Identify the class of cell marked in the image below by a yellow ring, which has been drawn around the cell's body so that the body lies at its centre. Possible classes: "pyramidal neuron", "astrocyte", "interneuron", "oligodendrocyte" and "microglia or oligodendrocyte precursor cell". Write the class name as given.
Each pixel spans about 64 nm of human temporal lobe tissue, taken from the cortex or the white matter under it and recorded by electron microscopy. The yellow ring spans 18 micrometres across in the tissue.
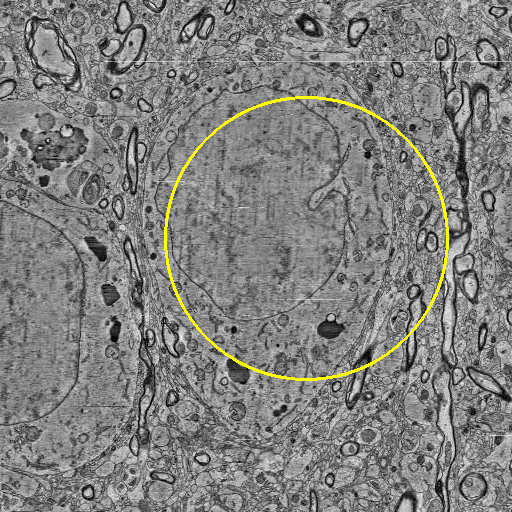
pyramidal neuron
